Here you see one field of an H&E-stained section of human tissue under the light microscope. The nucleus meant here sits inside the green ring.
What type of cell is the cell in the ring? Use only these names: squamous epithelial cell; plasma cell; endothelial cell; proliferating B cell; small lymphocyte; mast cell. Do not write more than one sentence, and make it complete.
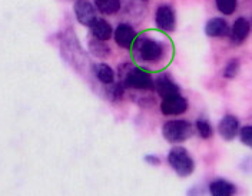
As to its cell type, the cell in the ring is a small lymphocyte.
